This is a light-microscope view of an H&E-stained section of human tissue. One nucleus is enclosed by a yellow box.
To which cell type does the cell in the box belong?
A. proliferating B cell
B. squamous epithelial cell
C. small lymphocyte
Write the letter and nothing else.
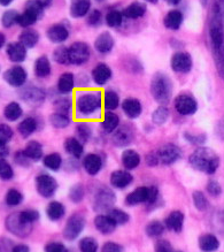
C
